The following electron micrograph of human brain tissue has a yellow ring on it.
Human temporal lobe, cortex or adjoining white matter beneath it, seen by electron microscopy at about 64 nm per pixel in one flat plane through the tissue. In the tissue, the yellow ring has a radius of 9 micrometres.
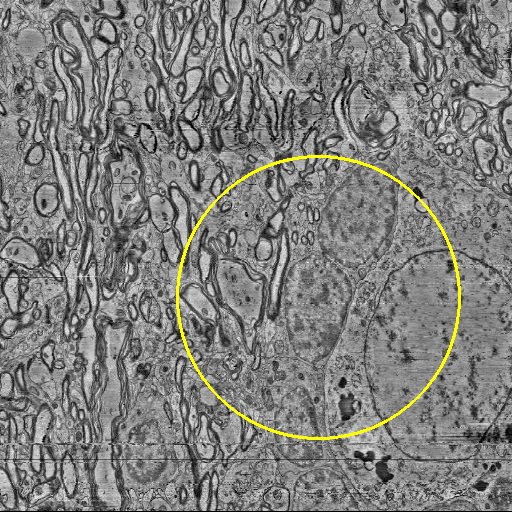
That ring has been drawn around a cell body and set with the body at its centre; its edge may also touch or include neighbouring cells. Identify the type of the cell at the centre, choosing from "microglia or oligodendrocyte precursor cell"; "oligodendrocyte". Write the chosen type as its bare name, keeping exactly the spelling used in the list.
oligodendrocyte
